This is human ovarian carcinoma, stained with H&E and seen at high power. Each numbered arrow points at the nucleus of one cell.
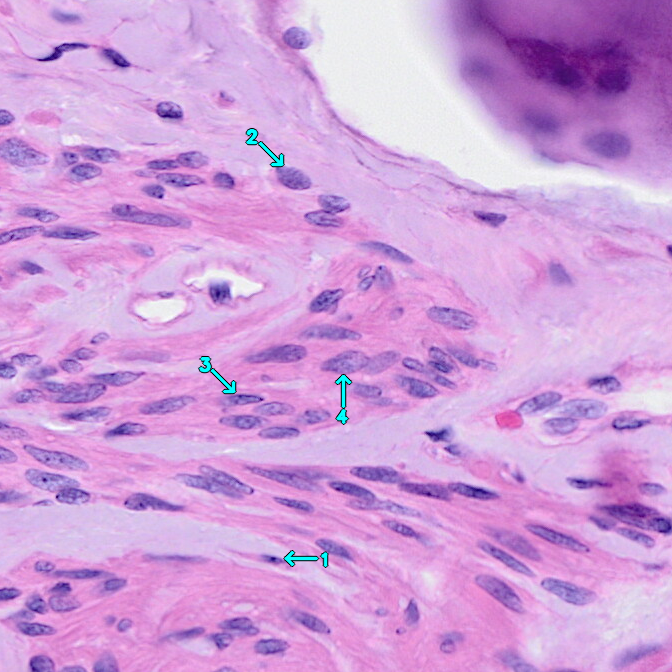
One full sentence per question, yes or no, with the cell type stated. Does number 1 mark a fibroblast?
No, number 1 is not a fibroblast; it is a smooth muscle cell.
